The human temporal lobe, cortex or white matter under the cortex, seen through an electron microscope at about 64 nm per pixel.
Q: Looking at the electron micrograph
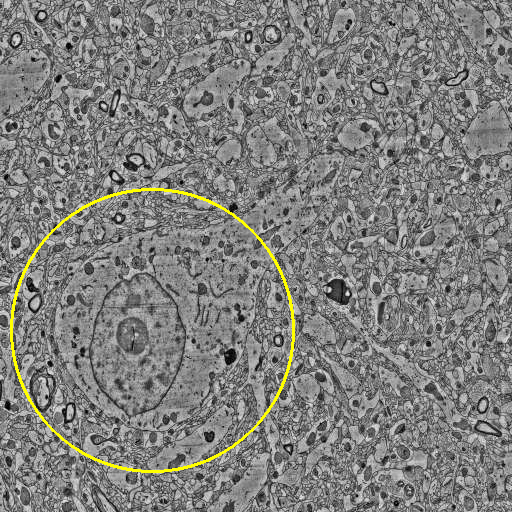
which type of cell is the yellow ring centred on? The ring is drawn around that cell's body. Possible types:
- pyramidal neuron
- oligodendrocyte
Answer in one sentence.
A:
The yellow ring is centred on a pyramidal neuron.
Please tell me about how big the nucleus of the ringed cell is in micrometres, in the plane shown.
The nucleus has a long axis of about 9 micrometres and a short axis of about 6 micrometres in this plane.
